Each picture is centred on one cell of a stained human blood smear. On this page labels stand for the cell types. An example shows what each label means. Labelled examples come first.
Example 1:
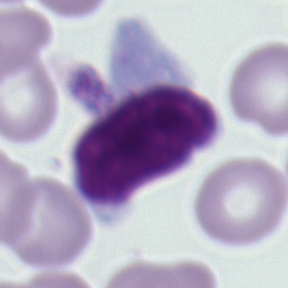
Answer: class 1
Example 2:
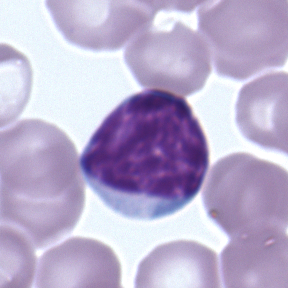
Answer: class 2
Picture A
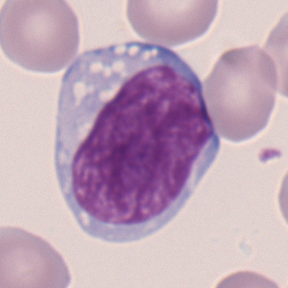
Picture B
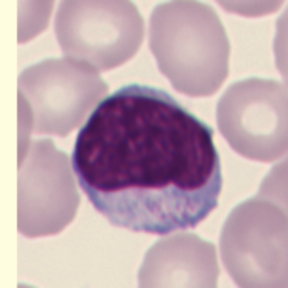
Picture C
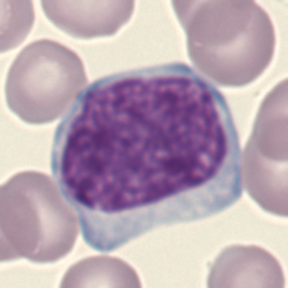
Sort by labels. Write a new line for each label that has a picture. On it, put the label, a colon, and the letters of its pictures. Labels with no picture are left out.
class 1: B
class 2: A, C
